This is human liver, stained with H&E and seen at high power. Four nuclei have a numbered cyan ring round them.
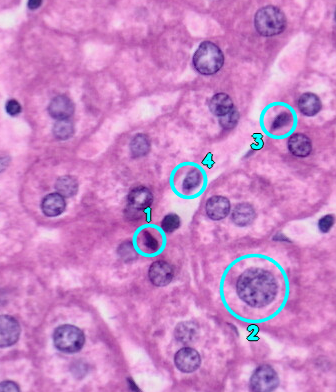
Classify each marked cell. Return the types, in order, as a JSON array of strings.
["fibroblast or stellate cell", "hepatocyte", "fibroblast or stellate cell", "Kupffer cell"]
